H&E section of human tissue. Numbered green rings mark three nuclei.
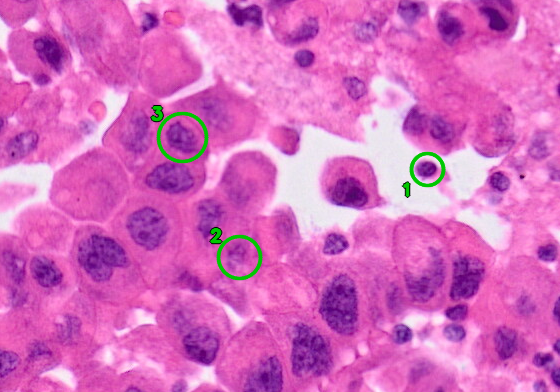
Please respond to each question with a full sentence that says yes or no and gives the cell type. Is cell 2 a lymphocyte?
No, cell 2 is not a lymphocyte; a carcinoma cell is correct.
